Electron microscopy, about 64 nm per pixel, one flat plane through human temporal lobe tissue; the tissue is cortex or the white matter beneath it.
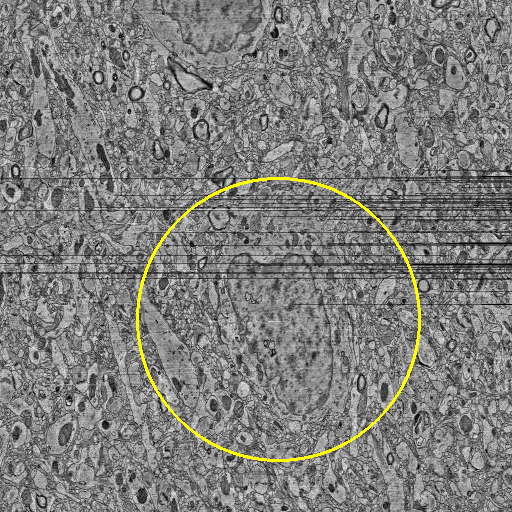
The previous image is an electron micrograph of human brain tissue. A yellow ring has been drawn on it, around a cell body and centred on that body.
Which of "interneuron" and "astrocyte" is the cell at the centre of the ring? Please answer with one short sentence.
The cell body at the centre of the ring belongs to an interneuron.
